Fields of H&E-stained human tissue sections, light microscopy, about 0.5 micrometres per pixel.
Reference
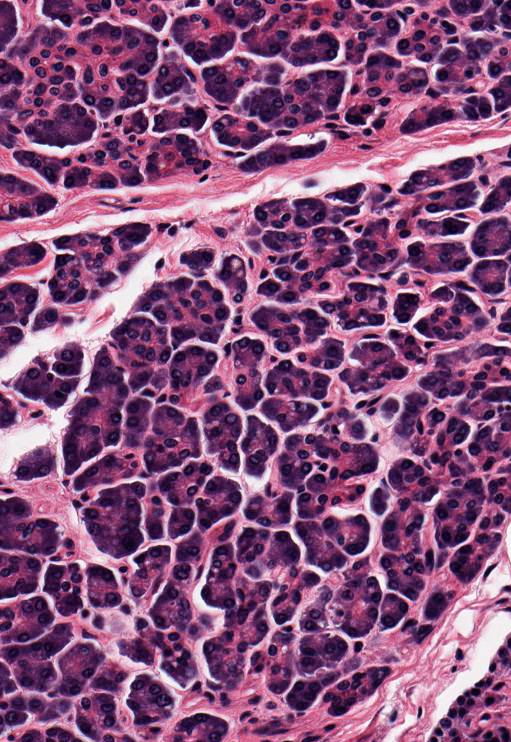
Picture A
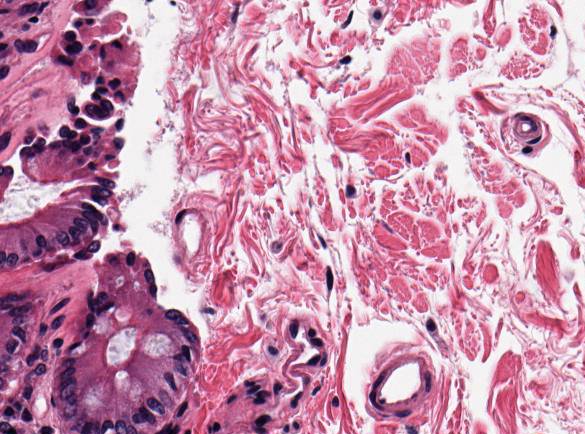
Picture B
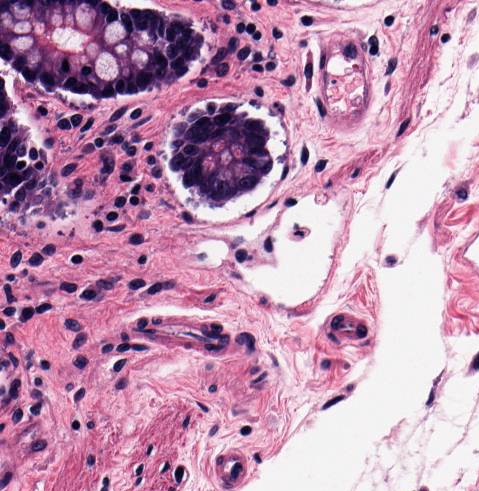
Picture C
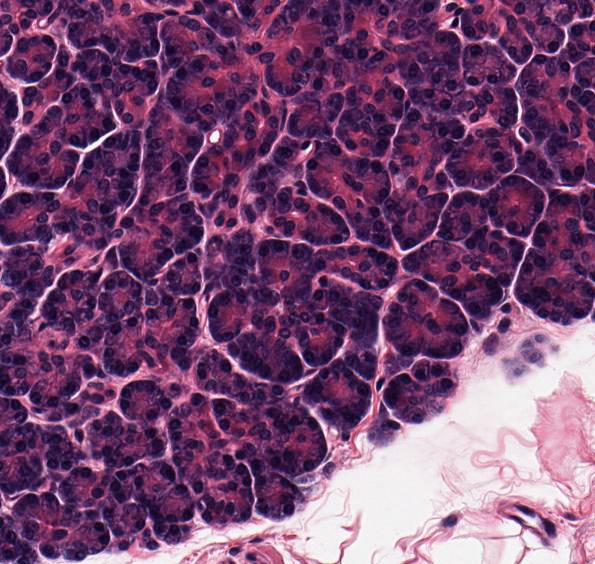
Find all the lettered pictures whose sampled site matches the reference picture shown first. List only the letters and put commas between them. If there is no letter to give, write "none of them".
C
